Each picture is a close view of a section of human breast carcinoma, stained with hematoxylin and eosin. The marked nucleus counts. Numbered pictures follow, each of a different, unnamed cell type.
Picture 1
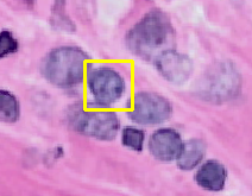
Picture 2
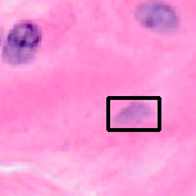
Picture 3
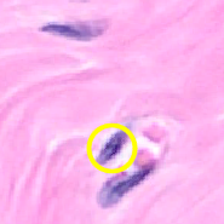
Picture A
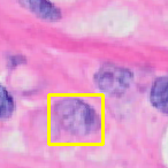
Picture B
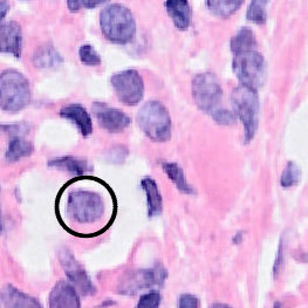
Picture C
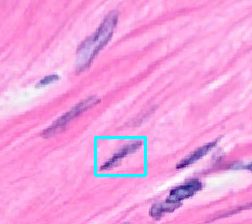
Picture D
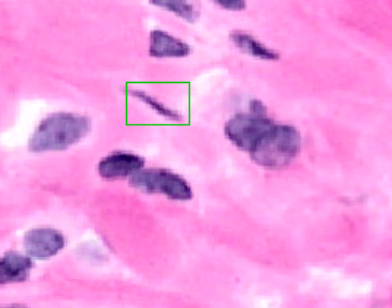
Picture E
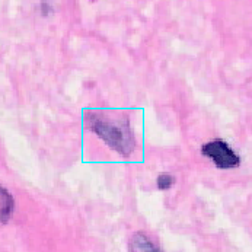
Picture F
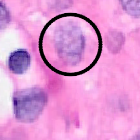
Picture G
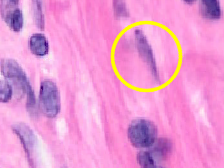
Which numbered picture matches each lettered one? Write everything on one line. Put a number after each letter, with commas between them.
A 1, B 1, C 2, D 2, E 2, F 1, G 2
